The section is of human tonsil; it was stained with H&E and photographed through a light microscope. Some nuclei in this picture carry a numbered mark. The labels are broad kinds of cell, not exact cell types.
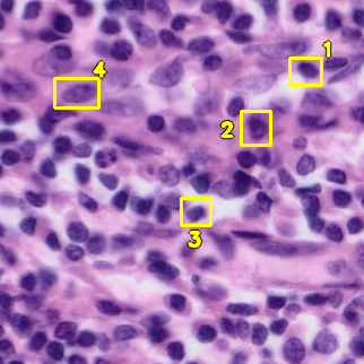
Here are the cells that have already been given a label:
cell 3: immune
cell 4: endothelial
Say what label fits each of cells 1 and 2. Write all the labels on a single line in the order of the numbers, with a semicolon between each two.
endothelial; endothelial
